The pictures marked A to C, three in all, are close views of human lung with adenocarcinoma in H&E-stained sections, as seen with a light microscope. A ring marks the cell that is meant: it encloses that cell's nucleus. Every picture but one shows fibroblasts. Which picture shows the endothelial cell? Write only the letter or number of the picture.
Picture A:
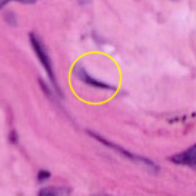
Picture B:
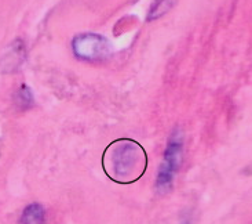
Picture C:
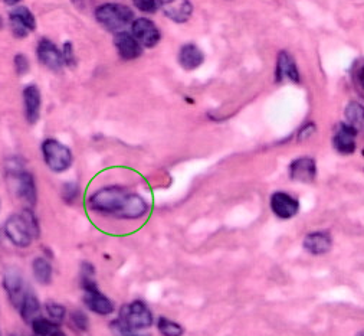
C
